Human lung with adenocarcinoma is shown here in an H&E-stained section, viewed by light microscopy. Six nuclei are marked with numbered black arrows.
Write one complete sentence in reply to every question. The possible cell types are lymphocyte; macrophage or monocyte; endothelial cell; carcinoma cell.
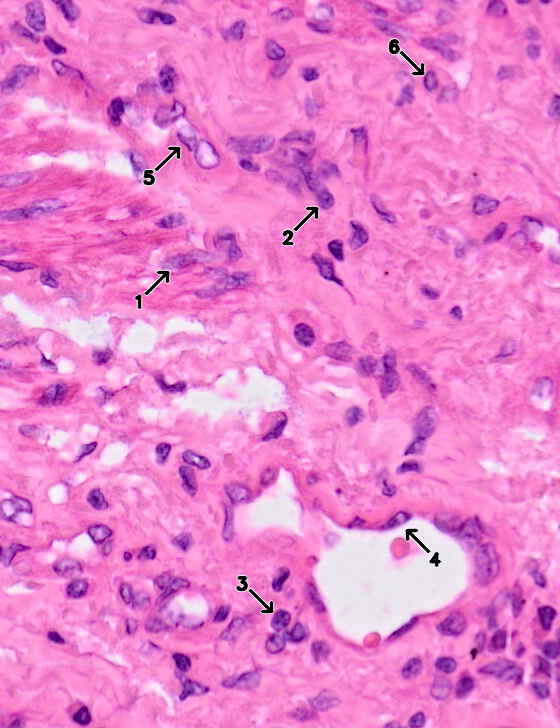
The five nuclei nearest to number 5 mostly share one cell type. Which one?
Of the five nuclei nearest to number 5, most belong to endothelial cells.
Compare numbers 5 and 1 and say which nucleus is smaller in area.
Number 5 is smaller, since number 1 takes up about 1.5 times as much area.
